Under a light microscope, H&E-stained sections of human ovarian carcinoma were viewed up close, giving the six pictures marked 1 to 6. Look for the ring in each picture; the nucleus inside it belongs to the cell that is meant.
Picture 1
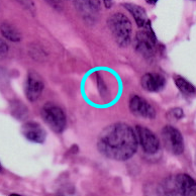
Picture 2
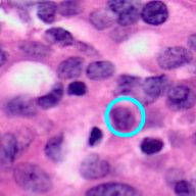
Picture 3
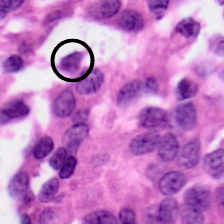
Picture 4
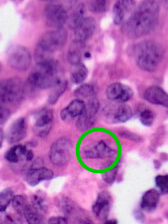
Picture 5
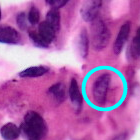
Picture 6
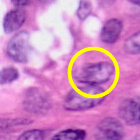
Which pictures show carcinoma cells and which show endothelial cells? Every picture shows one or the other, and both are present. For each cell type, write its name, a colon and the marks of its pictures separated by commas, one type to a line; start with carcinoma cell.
carcinoma cell: 2, 3
endothelial cell: 1, 4, 5, 6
